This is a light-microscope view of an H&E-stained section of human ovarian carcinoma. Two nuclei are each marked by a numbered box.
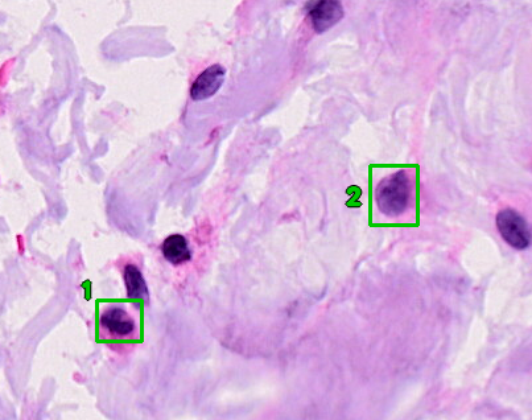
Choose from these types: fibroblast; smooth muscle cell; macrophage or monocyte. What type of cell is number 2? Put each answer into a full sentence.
Among the marked cells, number 2 is a fibroblast.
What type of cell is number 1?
In this section, number 1 marks a macrophage or monocyte.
